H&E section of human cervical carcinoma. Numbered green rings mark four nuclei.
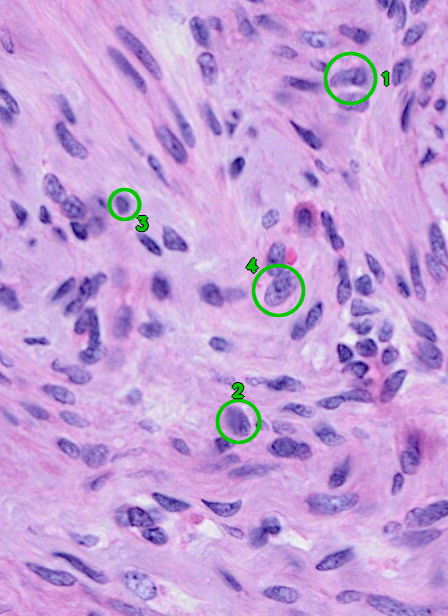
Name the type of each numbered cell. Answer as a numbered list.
1. fibroblast
2. fibroblast
3. fibroblast
4. endothelial cell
